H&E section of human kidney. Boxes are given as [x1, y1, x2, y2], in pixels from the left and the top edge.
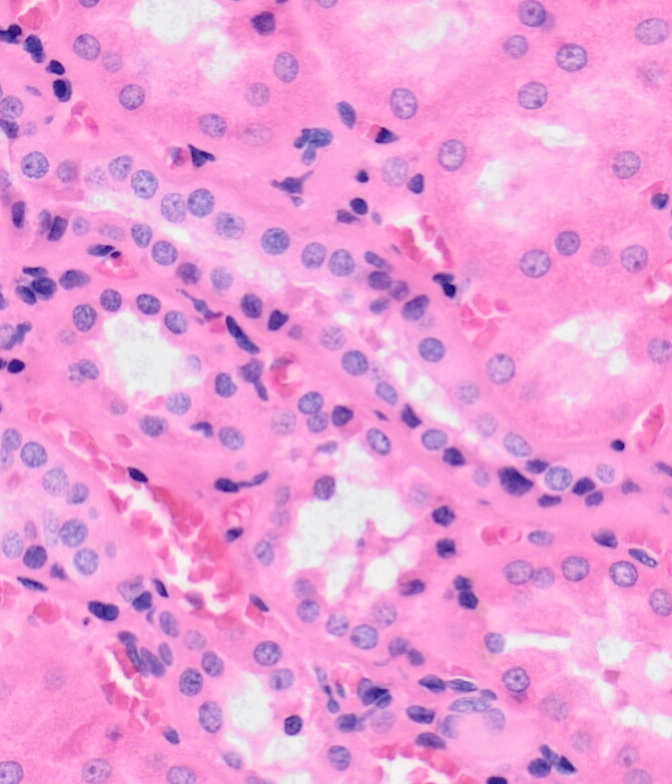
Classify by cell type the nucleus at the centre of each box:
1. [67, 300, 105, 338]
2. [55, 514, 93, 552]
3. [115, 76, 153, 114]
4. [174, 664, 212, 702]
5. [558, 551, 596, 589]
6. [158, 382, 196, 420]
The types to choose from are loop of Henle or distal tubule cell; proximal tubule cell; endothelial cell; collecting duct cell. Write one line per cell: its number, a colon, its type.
1: loop of Henle or distal tubule cell
2: collecting duct cell
3: proximal tubule cell
4: loop of Henle or distal tubule cell
5: proximal tubule cell
6: loop of Henle or distal tubule cell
